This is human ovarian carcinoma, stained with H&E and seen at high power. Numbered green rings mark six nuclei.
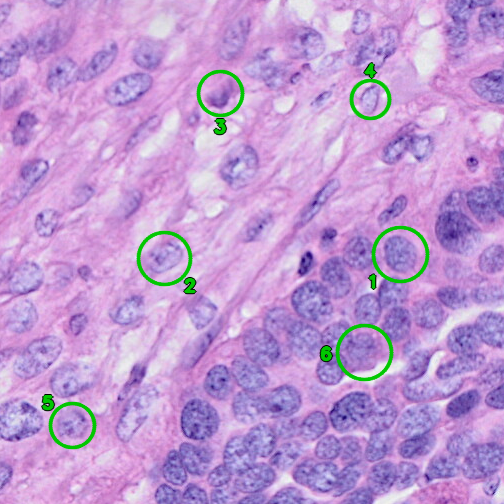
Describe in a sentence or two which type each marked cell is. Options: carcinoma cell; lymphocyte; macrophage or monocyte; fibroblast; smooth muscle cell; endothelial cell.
Cells 1 and 6 are carcinoma cells. Cells 2, 3, 4 and 5 are fibroblasts.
